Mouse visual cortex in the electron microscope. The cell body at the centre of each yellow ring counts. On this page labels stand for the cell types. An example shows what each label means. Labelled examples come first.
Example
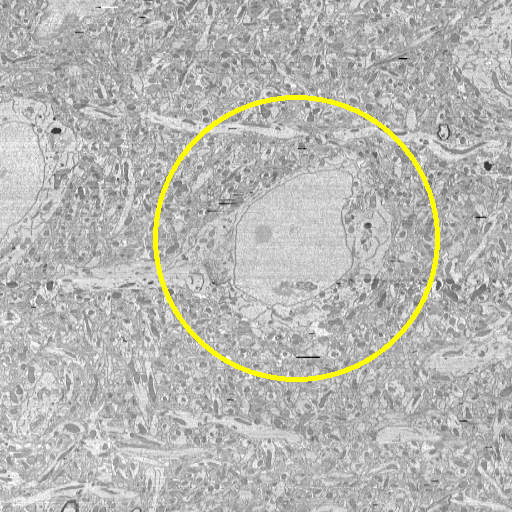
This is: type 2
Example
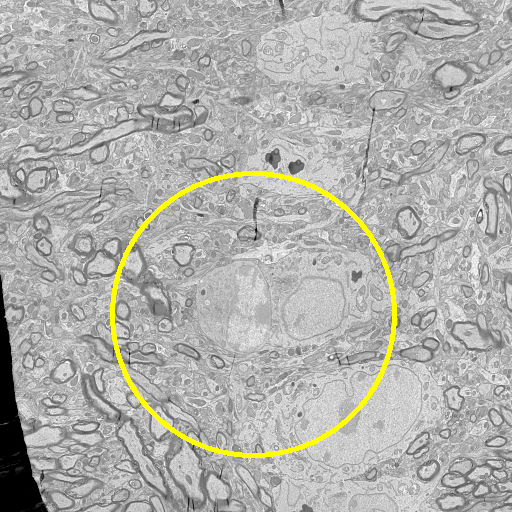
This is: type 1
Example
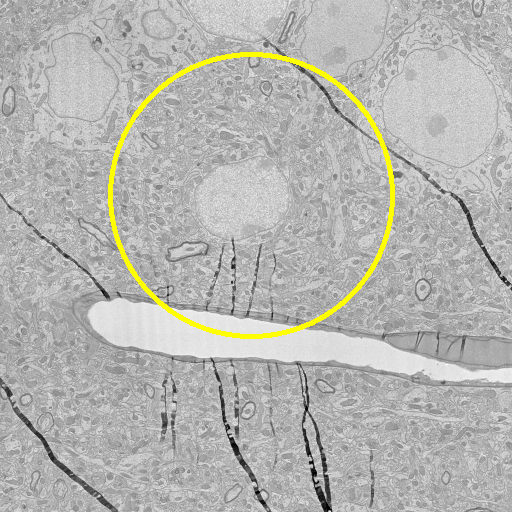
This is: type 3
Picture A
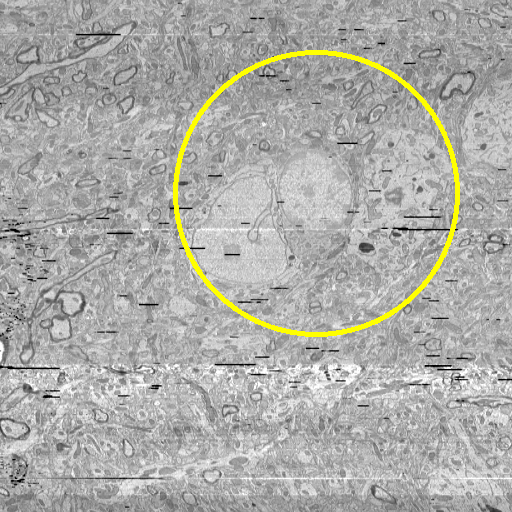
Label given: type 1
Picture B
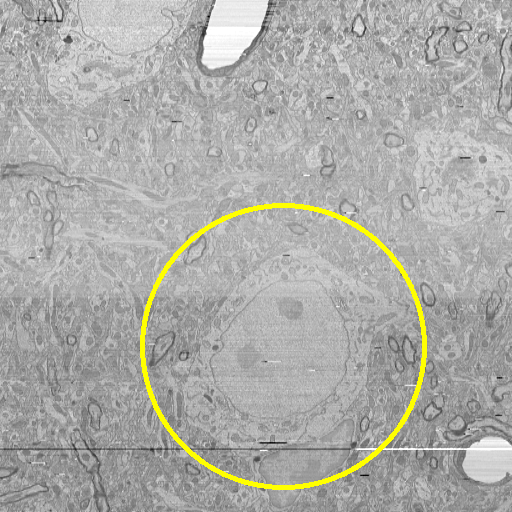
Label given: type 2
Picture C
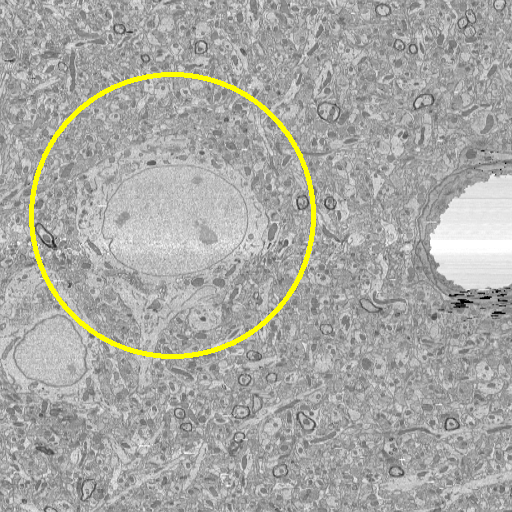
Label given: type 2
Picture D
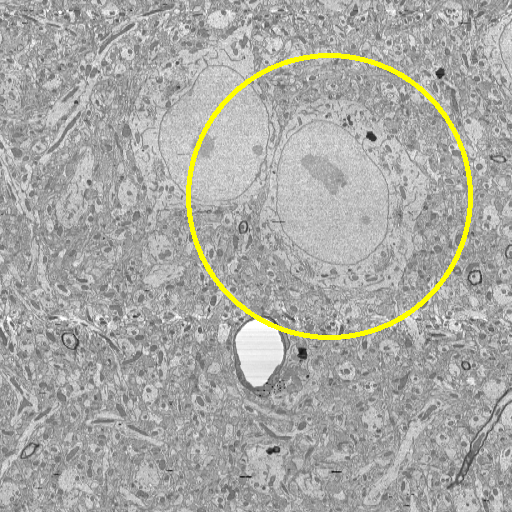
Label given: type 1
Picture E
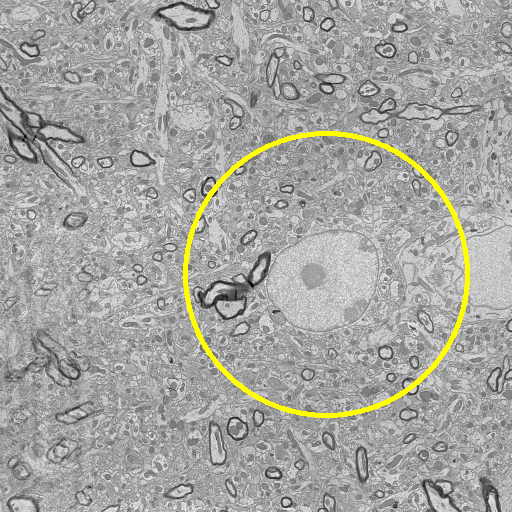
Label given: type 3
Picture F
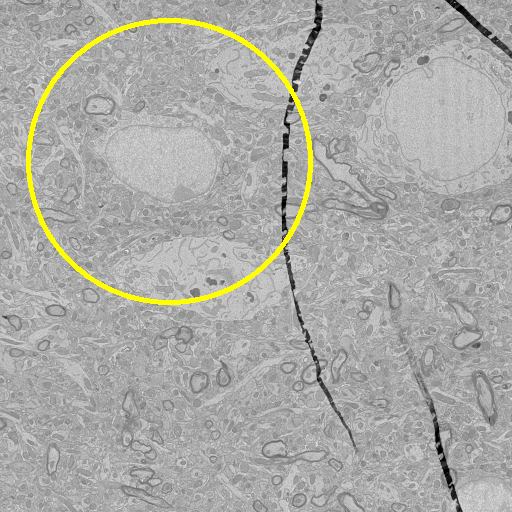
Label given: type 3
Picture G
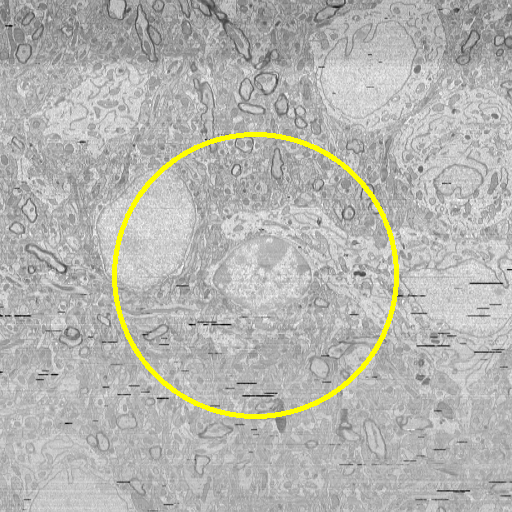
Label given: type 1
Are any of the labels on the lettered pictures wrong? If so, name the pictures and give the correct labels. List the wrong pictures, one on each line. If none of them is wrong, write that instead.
D is labelled type 1; correct label: type 2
